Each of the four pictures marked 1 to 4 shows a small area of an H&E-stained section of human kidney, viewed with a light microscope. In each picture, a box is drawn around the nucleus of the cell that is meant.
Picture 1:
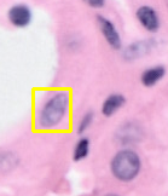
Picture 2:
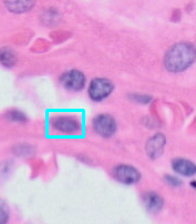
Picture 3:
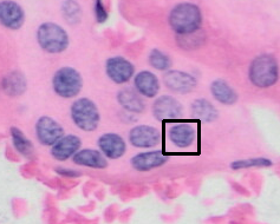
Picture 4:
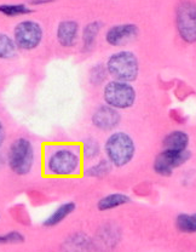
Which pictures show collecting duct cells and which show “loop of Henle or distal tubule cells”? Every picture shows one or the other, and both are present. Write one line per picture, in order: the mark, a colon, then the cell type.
1: loop of Henle or distal tubule cell
2: loop of Henle or distal tubule cell
3: collecting duct cell
4: collecting duct cell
